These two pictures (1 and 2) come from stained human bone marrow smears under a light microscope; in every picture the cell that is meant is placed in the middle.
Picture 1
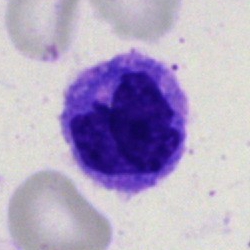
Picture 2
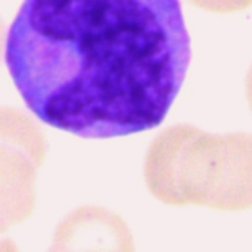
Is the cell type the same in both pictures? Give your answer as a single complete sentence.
Yes, they are the same type: both are monocytes.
